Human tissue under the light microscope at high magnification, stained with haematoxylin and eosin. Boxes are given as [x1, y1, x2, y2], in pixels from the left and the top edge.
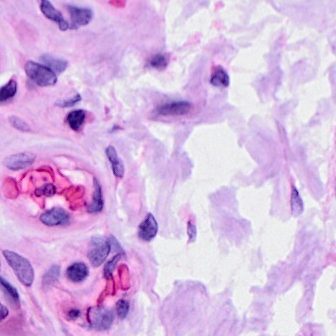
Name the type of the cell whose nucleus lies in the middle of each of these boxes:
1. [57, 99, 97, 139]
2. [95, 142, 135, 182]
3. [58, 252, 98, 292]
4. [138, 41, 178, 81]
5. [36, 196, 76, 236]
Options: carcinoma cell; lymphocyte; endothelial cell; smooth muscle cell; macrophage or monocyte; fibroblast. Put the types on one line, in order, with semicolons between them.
lymphocyte; fibroblast; lymphocyte; macrophage or monocyte; endothelial cell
